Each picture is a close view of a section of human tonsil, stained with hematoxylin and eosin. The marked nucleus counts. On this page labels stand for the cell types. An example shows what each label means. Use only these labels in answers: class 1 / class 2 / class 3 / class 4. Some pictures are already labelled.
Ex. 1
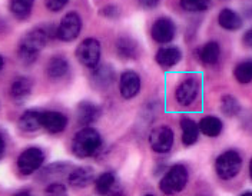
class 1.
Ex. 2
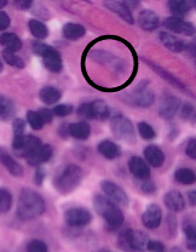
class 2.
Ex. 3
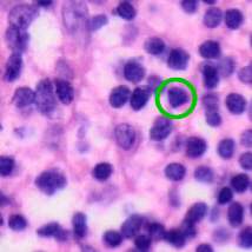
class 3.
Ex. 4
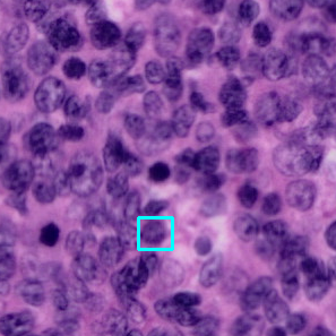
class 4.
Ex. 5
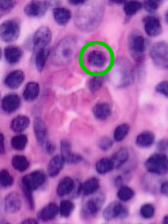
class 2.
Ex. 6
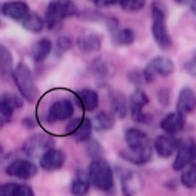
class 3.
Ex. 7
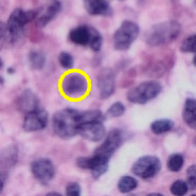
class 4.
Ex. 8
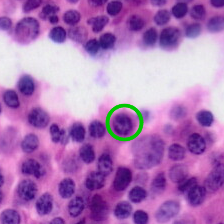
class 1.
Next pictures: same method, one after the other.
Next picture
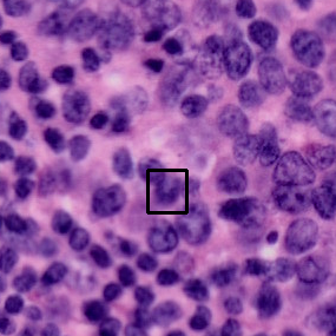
class 4.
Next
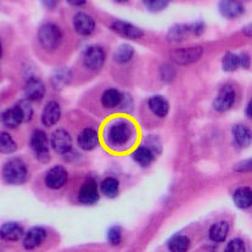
class 1.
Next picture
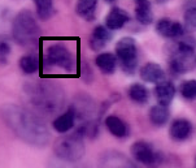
class 2.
